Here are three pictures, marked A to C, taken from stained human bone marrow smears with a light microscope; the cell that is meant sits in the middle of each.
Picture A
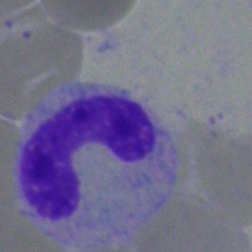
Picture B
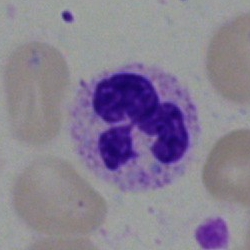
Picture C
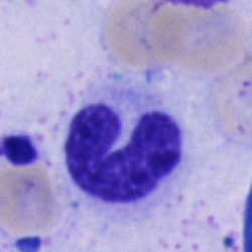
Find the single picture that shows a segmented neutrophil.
B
